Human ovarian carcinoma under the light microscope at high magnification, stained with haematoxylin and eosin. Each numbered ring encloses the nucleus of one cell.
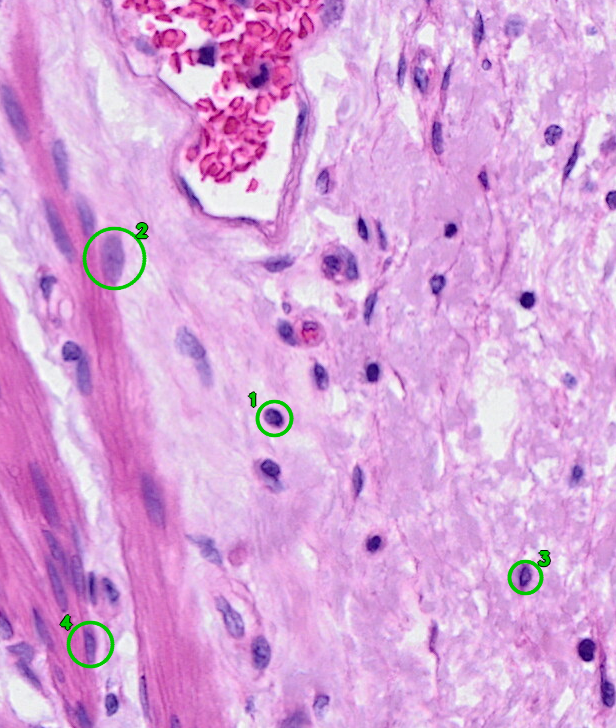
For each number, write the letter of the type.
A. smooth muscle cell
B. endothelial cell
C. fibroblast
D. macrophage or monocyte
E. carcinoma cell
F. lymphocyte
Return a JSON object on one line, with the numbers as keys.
{"1": "F", "2": "A", "3": "D", "4": "A"}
